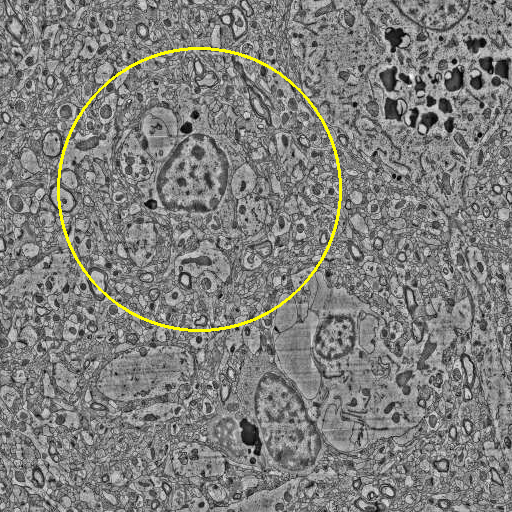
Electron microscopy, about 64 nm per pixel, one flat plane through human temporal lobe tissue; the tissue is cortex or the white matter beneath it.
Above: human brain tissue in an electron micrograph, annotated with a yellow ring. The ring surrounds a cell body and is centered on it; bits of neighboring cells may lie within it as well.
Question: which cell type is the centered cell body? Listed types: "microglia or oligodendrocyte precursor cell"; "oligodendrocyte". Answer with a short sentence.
The centered cell body is a microglial cell or oligodendrocyte precursor cell.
